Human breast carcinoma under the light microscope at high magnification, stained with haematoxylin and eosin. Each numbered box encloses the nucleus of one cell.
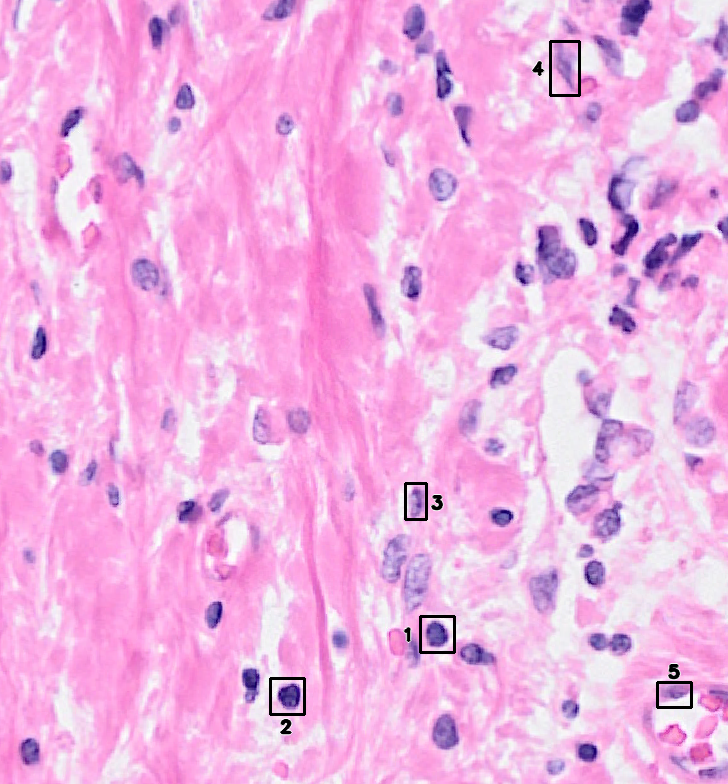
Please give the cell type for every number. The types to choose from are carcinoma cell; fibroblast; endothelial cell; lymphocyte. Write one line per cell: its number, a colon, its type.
1: lymphocyte
2: lymphocyte
3: fibroblast
4: endothelial cell
5: endothelial cell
